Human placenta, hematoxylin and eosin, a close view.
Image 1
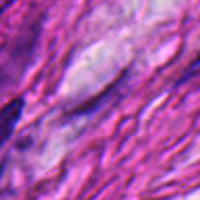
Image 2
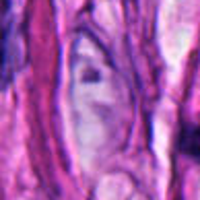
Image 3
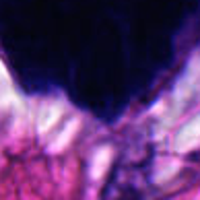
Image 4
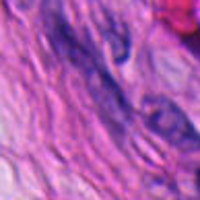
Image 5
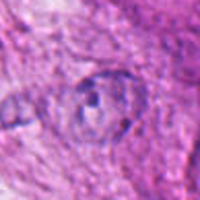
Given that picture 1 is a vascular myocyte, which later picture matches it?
4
